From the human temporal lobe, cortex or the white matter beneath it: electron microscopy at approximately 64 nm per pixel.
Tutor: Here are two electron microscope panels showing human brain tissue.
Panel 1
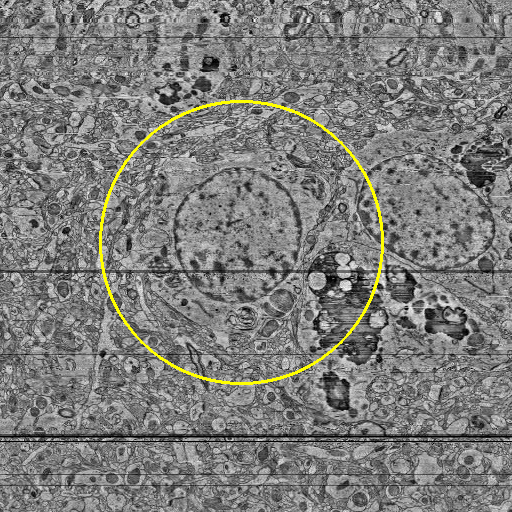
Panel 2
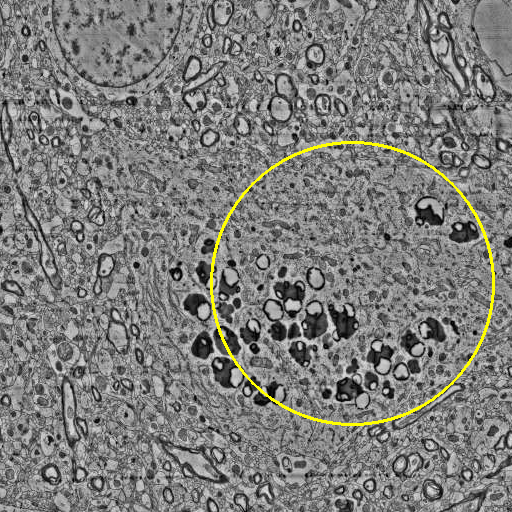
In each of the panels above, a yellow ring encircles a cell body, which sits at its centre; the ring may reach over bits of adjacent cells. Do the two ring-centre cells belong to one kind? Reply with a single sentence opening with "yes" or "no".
No, the two cells sitting at the ring centres in the panels belong to two kinds.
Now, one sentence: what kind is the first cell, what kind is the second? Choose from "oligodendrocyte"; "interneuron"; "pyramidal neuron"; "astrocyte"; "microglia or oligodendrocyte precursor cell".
The first picture has an astrocyte at its ring centre, and the second has a pyramidal neuron.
